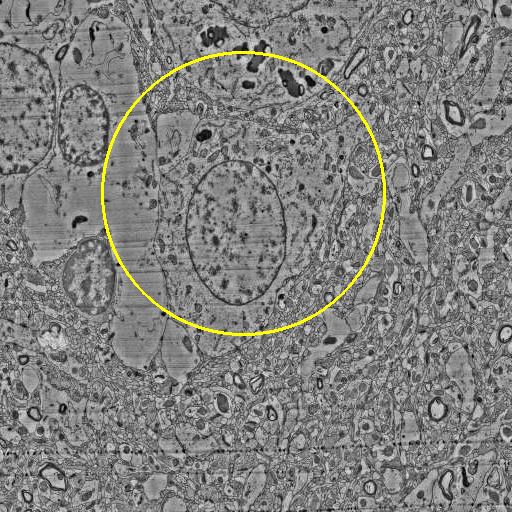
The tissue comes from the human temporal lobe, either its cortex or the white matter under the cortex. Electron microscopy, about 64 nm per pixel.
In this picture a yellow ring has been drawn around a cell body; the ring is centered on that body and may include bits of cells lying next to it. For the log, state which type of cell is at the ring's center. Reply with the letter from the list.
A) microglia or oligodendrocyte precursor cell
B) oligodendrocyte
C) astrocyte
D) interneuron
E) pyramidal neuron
E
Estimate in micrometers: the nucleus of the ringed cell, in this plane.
Approximately 9 by 7 micrometers in this plane.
